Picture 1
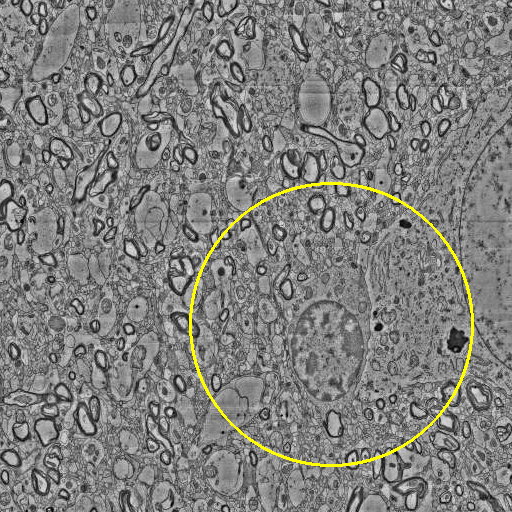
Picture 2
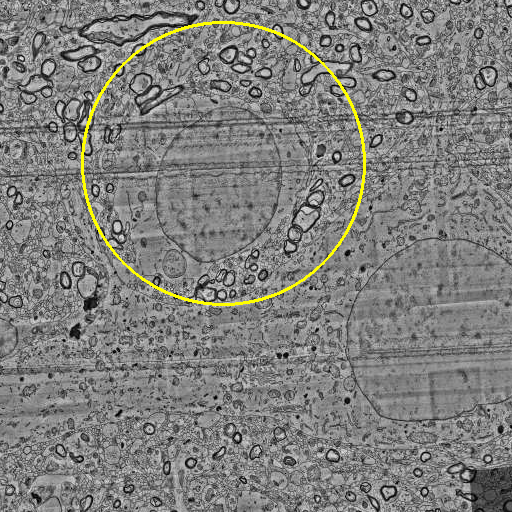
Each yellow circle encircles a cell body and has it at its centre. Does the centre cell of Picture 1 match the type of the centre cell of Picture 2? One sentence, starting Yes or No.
No, the cell centred in Picture 1 and the one in Picture 2 have separate types.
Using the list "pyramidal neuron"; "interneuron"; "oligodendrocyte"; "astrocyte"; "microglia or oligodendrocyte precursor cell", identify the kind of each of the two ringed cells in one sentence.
The first is an oligodendrocyte and the second is an astrocyte.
